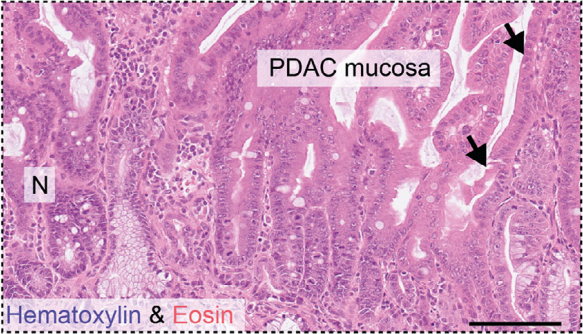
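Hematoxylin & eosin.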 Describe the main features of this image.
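Small intestinal mucosa in which regular crypts and villi lined by columnar epithelium with goblet cells lie at one side, and glandular structures lined by tumor cells occupy the rest of the field. The tumor cells form elongated glands within the epithelial layer, with pink cytoplasm and larger, more irregular and crowded nuclei than the normal epithelium; loose stroma with inflammatory cells lies between the glands.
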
